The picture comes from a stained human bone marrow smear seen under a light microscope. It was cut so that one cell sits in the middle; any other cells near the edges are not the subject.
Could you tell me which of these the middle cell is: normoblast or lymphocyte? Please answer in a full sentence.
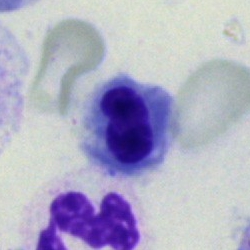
The crop's centre is taken up by a normoblast.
